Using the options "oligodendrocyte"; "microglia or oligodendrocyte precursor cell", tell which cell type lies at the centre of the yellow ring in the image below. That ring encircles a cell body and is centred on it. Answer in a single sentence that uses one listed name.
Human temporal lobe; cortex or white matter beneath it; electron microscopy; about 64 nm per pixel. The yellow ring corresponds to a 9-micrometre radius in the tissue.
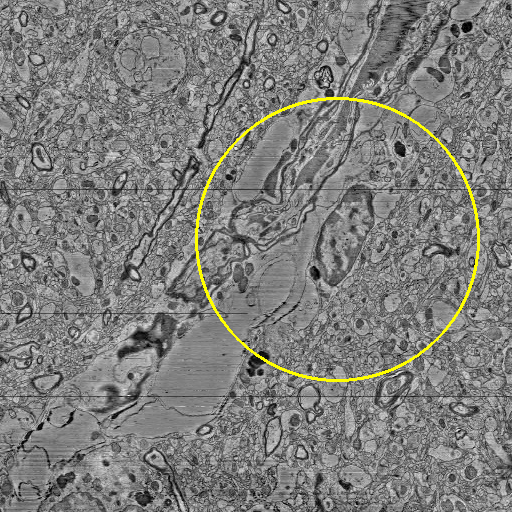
At the centre of the yellow ring lies the body of a microglial cell or oligodendrocyte precursor cell.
